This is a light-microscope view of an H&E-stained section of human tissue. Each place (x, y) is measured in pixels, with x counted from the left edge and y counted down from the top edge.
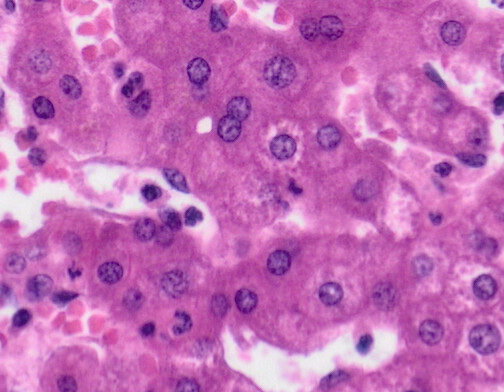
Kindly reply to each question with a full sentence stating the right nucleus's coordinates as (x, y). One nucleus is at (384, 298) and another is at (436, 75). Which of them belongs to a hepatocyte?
Rather than the other nucleus, the one at (384, 298) belongs to a hepatocyte.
